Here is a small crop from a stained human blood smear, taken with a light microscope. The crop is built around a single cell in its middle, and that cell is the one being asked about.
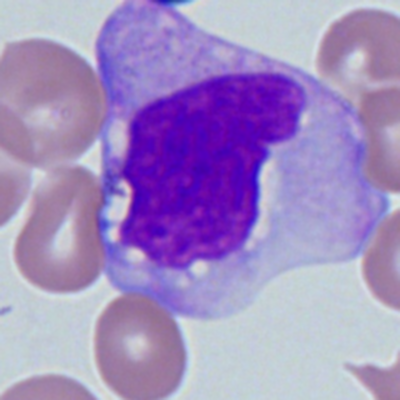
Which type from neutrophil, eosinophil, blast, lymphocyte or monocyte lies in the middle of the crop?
monocyte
